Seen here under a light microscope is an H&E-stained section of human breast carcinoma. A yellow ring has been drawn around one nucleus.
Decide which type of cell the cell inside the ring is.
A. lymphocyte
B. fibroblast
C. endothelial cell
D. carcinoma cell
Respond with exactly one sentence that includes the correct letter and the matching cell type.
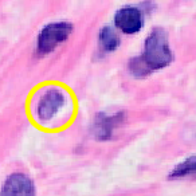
Option A is the one to take: the cell inside the ring is a lymphocyte.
